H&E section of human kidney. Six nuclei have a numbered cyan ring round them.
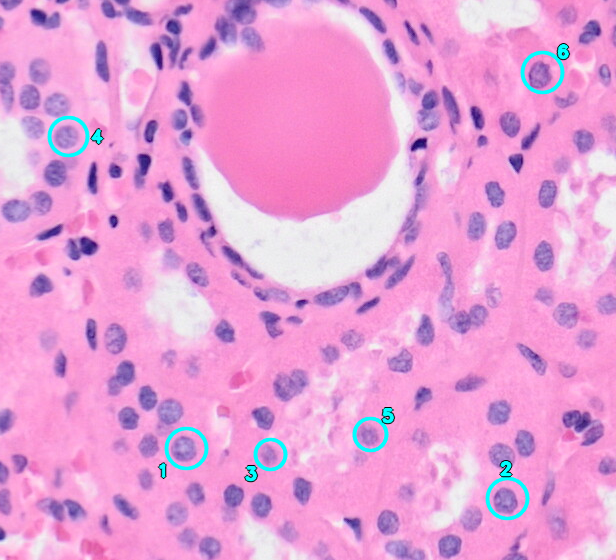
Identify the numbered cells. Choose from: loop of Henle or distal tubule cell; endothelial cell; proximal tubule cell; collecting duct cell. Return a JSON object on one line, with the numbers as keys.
{"1": "loop of Henle or distal tubule cell", "2": "loop of Henle or distal tubule cell", "3": "loop of Henle or distal tubule cell", "4": "collecting duct cell", "5": "loop of Henle or distal tubule cell", "6": "proximal tubule cell"}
